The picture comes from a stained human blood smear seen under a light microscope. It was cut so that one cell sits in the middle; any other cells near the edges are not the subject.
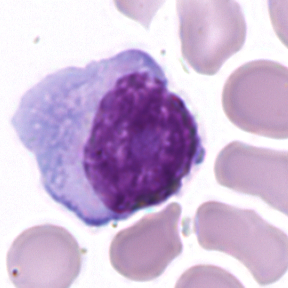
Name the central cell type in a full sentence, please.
The cell of interest, in the center, is a plasma cell.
